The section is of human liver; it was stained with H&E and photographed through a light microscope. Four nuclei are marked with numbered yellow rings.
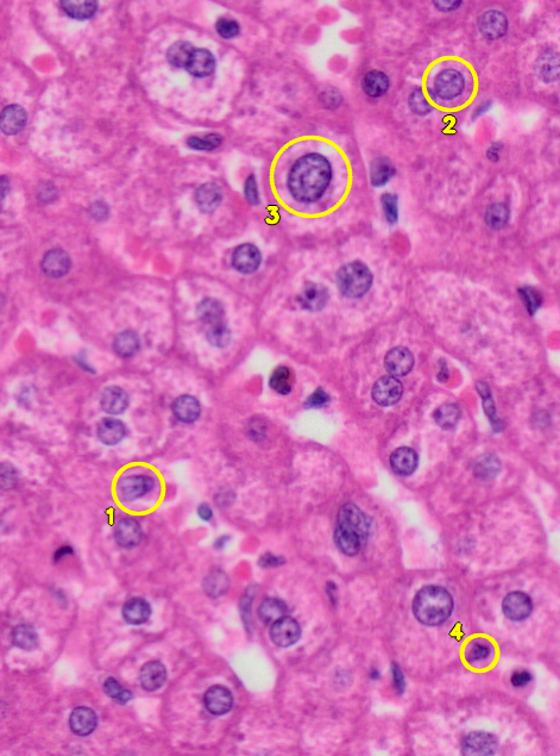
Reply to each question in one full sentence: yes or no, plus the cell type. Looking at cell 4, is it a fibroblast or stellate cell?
Yes, the cell denoted by 4 is a fibroblast or stellate cell.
